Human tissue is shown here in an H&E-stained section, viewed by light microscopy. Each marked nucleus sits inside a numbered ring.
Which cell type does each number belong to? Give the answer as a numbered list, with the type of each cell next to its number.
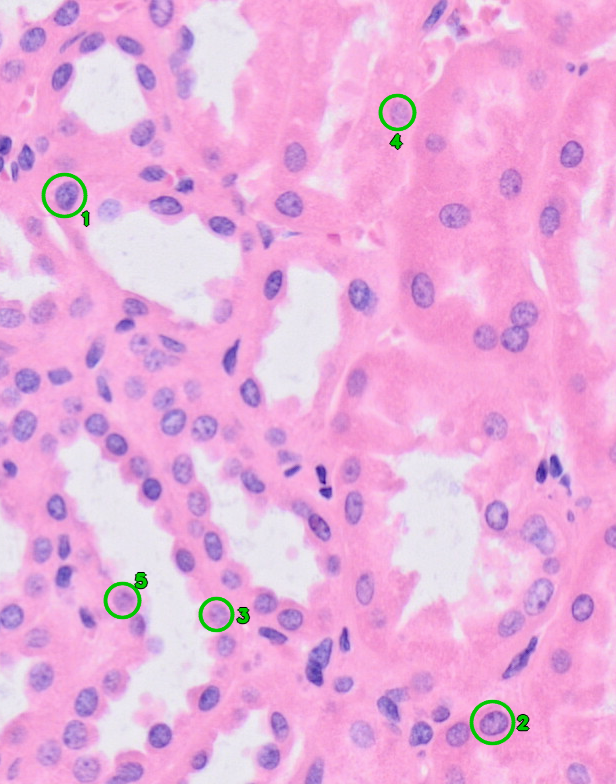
1. loop of Henle or distal tubule cell
2. proximal tubule cell
3. loop of Henle or distal tubule cell
4. proximal tubule cell
5. loop of Henle or distal tubule cell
